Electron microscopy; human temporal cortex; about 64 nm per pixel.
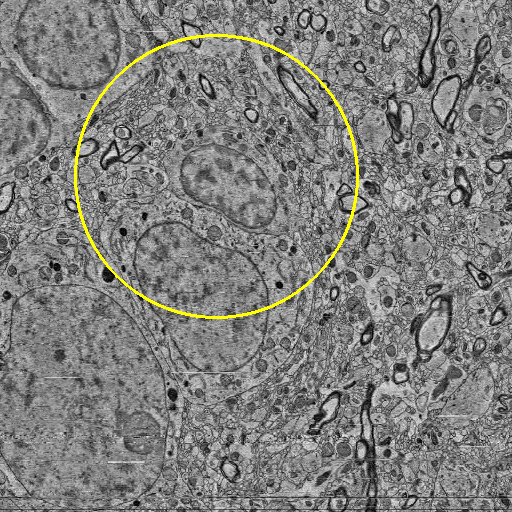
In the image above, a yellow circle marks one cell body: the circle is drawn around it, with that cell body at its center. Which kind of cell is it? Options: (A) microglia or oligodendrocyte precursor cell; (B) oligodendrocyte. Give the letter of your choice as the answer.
B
